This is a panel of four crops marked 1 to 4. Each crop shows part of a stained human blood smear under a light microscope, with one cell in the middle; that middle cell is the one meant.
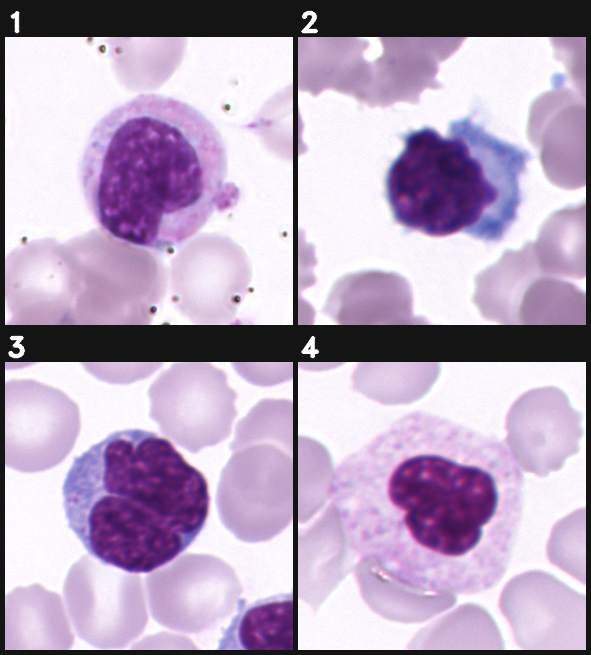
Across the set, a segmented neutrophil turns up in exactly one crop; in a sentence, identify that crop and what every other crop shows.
Centred in crop 4 is a segmented neutrophil, while crop 1 is a metamyelocyte, crop 2 is a hairy cell and crop 3 is a typical lymphocyte.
